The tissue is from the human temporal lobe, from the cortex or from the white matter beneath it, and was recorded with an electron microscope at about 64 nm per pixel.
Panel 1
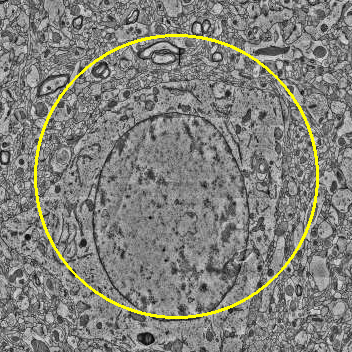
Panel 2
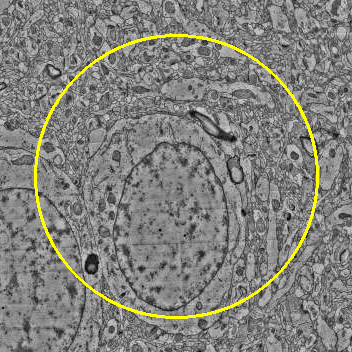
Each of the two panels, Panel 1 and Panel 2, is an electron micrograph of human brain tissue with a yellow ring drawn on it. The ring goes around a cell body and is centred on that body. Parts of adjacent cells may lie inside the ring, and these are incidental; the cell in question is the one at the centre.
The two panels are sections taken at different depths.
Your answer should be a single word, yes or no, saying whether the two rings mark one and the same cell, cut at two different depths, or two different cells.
no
